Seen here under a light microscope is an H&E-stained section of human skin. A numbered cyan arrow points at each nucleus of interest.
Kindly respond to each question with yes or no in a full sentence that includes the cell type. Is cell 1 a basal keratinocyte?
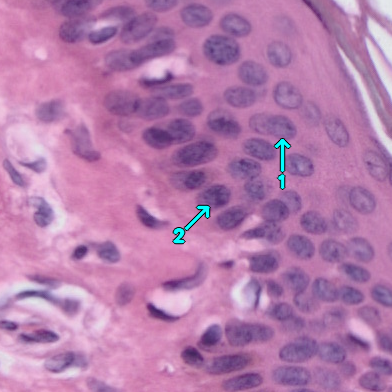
No, the cell labelled number 1 is not a basal keratinocyte; it is a suprabasal keratinocyte.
